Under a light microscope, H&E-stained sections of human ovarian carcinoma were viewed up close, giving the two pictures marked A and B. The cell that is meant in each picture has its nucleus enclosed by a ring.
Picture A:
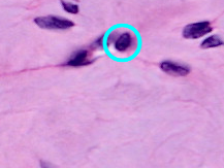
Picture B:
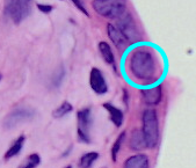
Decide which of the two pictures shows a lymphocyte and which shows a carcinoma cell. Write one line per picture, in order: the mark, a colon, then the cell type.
A: lymphocyte
B: carcinoma cell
